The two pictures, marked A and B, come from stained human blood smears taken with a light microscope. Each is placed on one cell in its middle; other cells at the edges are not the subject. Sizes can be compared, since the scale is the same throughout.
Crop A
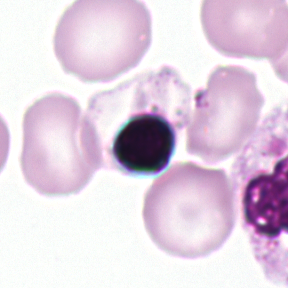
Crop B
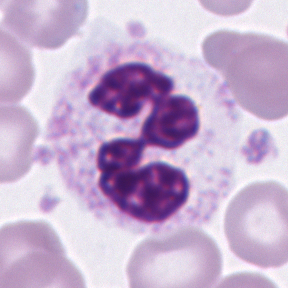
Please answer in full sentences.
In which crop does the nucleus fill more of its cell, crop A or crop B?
The nucleus fills more of the cell in crop A than in crop B.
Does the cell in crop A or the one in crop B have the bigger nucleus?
Larger is the nucleus in crop B, at roughly 4 times the area of the other.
